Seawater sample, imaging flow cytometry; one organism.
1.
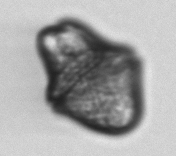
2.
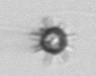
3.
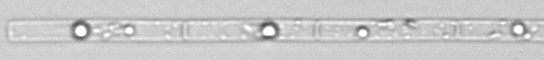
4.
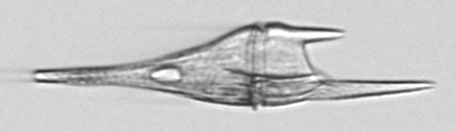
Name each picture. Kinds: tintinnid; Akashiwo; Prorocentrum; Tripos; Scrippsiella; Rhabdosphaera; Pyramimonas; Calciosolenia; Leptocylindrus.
1. Akashiwo
2. Rhabdosphaera
3. Leptocylindrus
4. Tripos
